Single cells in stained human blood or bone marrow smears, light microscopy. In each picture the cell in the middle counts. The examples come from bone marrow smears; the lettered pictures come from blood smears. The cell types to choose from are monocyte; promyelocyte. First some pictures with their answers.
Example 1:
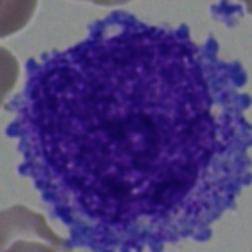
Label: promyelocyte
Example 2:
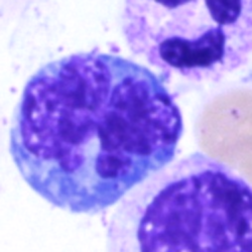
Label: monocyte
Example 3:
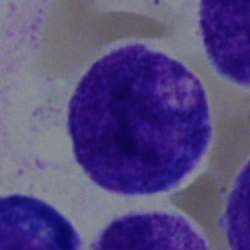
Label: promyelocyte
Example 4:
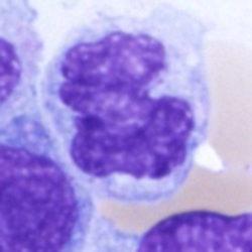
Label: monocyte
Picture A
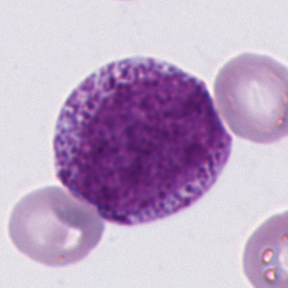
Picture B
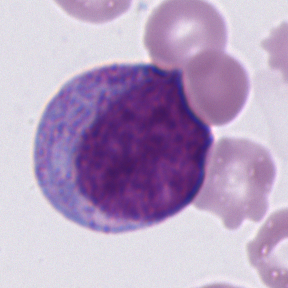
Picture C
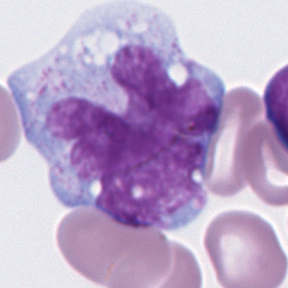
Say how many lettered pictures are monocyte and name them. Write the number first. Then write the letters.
1: C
